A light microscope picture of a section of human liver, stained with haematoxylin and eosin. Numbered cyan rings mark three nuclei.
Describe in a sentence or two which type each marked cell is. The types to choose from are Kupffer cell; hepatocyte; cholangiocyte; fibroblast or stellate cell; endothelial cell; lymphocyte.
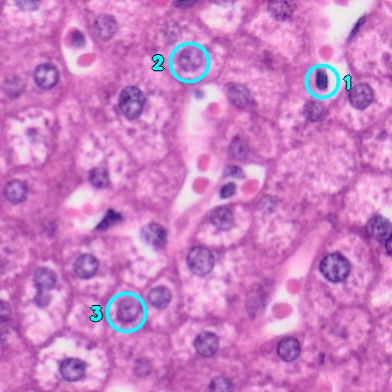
Cell 1 is a lymphocyte. Cells 2 and 3 are hepatocytes.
